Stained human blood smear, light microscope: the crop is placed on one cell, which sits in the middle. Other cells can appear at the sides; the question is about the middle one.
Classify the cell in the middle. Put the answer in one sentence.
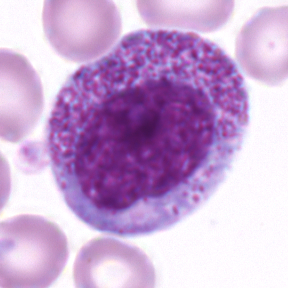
The cell at the middle of the crop is recognized as a promyelocyte.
